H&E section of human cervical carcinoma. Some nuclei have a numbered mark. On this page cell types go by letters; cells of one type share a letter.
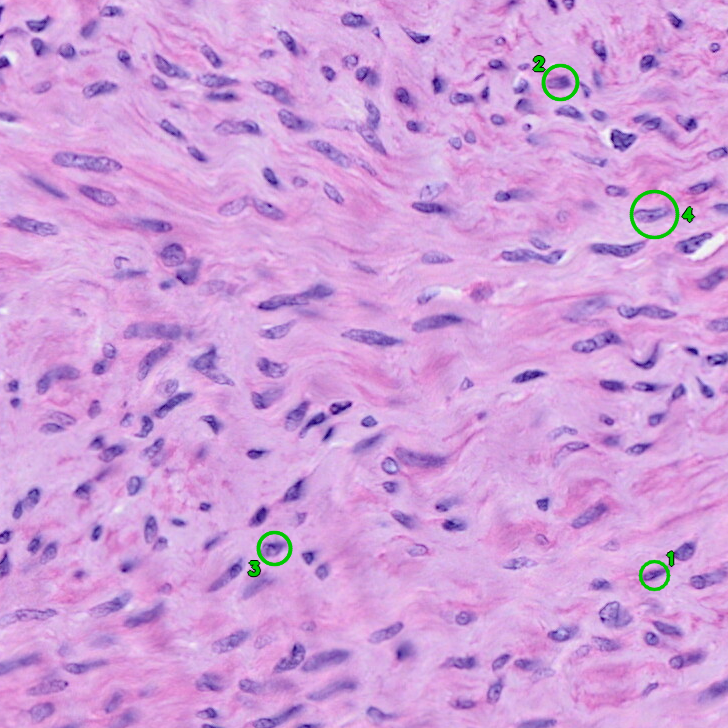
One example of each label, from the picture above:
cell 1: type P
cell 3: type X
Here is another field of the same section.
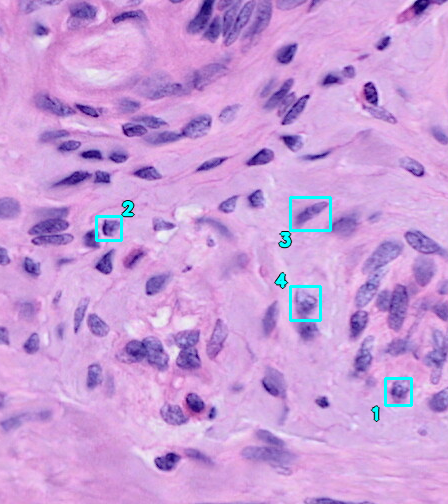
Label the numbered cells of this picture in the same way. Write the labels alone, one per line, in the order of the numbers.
type P
type X
type X
type X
